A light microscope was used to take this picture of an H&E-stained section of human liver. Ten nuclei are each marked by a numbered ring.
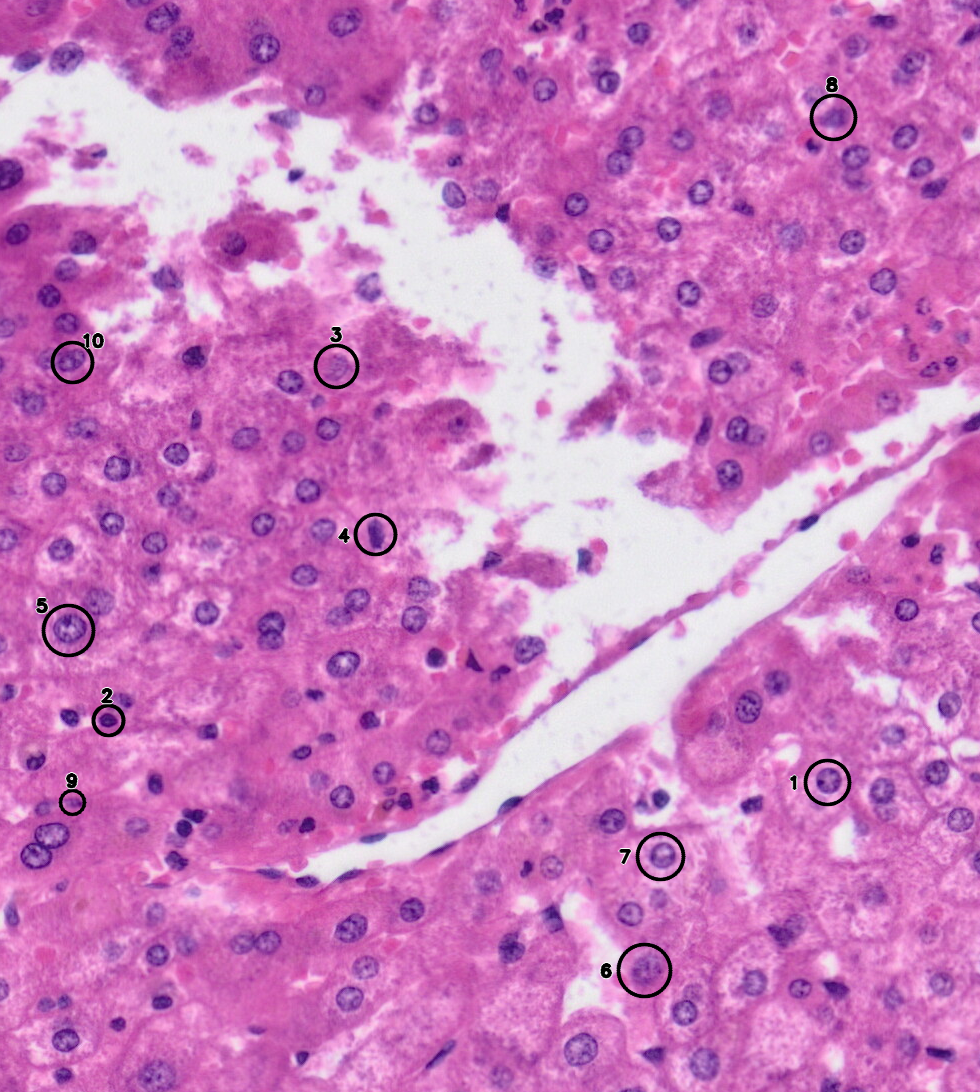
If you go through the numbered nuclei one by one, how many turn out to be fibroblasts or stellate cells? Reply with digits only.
2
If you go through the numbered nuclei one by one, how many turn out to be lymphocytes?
1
